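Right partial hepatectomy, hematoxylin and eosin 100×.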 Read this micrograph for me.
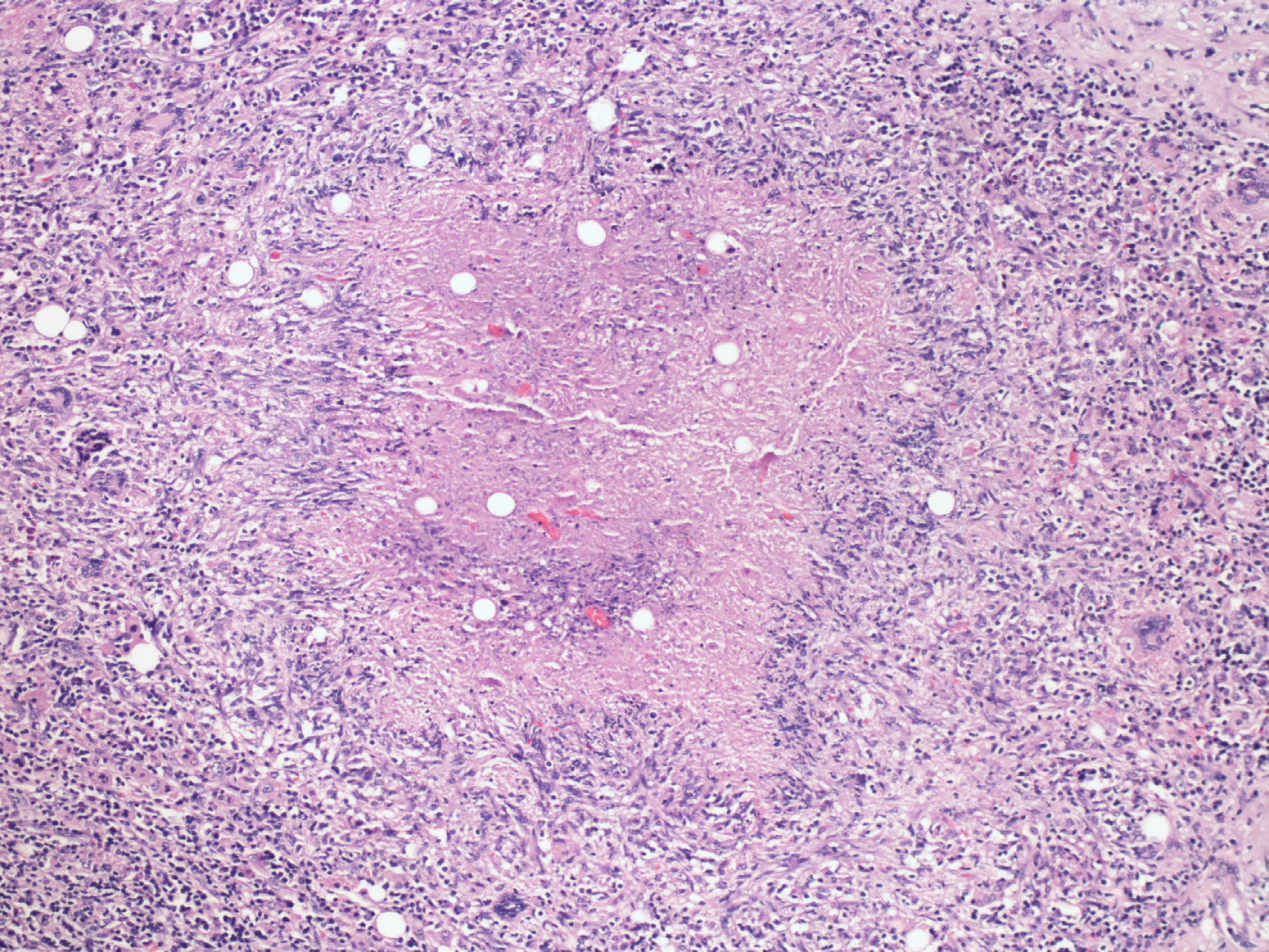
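This is a granuloma with central necrosis, surrounded by palisading histiocytes and inflammatory cells. The center is a pale pink, amorphous zone without intact cells, holding only scattered dark nuclear fragments and a few red blood cells. Around it, elongated histiocytes with oval to spindle nuclei form a band at its edge, many aligned roughly perpendicular to that edge. Further out lies a dense infiltrate of small cells with round dark nuclei. Multinucleated giant cells with abundant pink cytoplasm are present in this outer zone. Small round clear spaces are scattered throughout the section.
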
